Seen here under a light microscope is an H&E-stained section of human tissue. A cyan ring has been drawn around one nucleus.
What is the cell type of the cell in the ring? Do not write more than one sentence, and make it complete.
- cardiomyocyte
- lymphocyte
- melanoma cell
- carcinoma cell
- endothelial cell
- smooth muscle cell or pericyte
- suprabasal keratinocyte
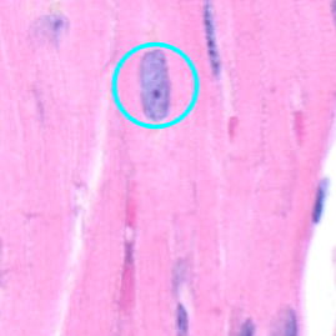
In the context of this tissue, the cell in the ring is a cardiomyocyte.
